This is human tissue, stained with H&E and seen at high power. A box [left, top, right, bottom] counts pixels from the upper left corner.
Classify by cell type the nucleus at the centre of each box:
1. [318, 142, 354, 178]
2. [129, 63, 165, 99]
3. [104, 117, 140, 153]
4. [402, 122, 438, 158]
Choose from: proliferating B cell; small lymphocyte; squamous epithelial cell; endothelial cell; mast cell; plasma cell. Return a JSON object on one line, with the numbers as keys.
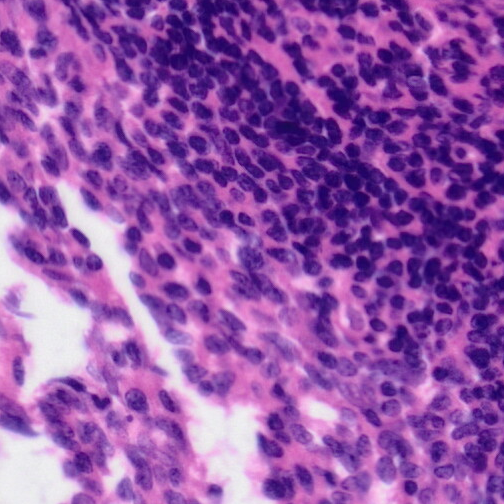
{"1": "small lymphocyte", "2": "small lymphocyte", "3": "proliferating B cell", "4": "small lymphocyte"}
